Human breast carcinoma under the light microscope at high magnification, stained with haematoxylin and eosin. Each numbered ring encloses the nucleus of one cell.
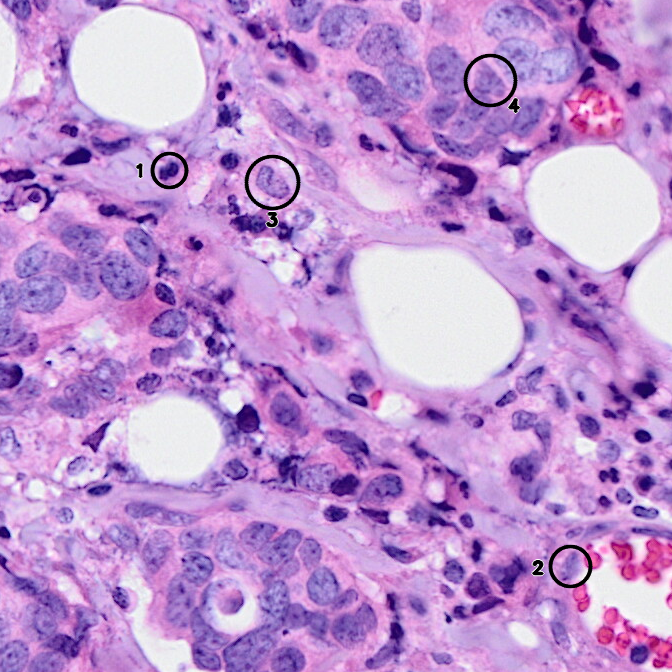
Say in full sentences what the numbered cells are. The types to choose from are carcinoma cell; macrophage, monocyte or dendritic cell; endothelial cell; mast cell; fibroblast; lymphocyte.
Cell 1 is a lymphocyte, cell 2 is an endothelial cell, cell 3 is a macrophage, monocyte or dendritic cell and cell 4 is a carcinoma cell.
